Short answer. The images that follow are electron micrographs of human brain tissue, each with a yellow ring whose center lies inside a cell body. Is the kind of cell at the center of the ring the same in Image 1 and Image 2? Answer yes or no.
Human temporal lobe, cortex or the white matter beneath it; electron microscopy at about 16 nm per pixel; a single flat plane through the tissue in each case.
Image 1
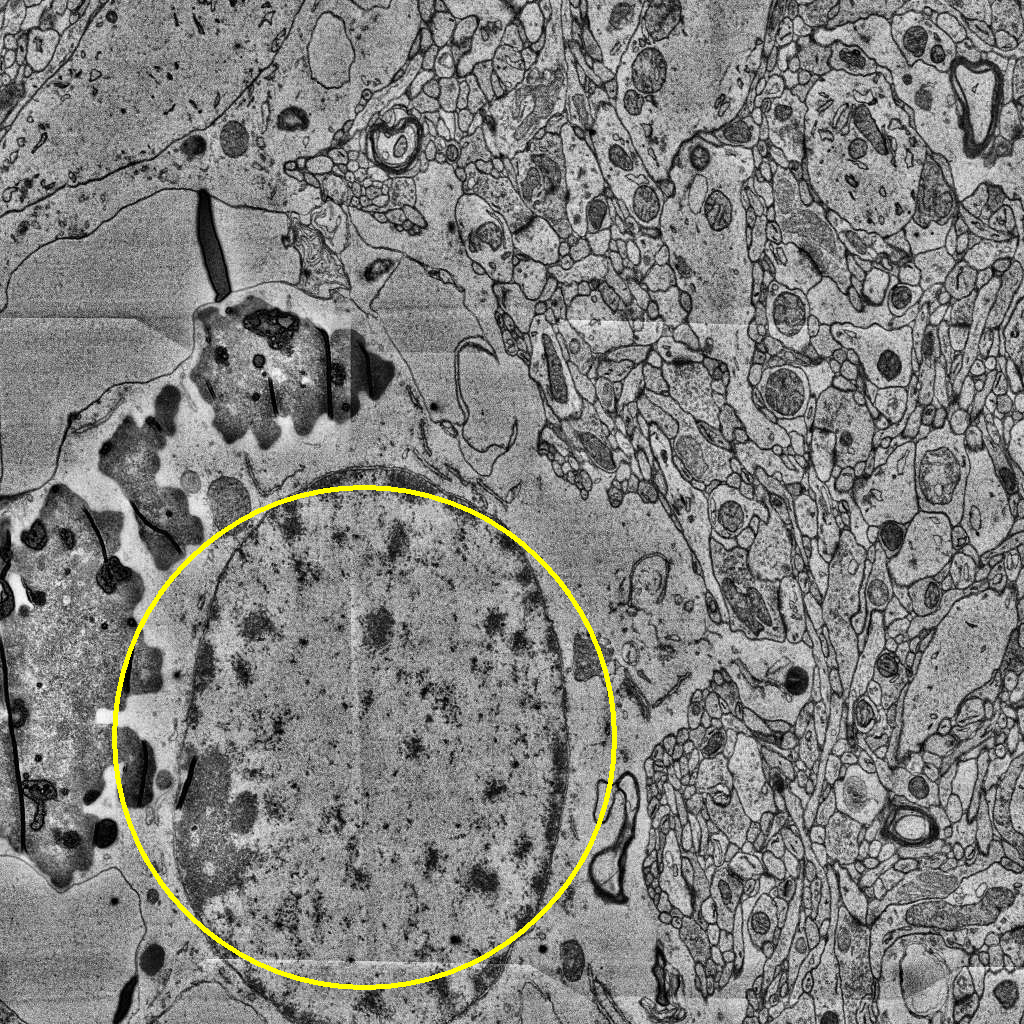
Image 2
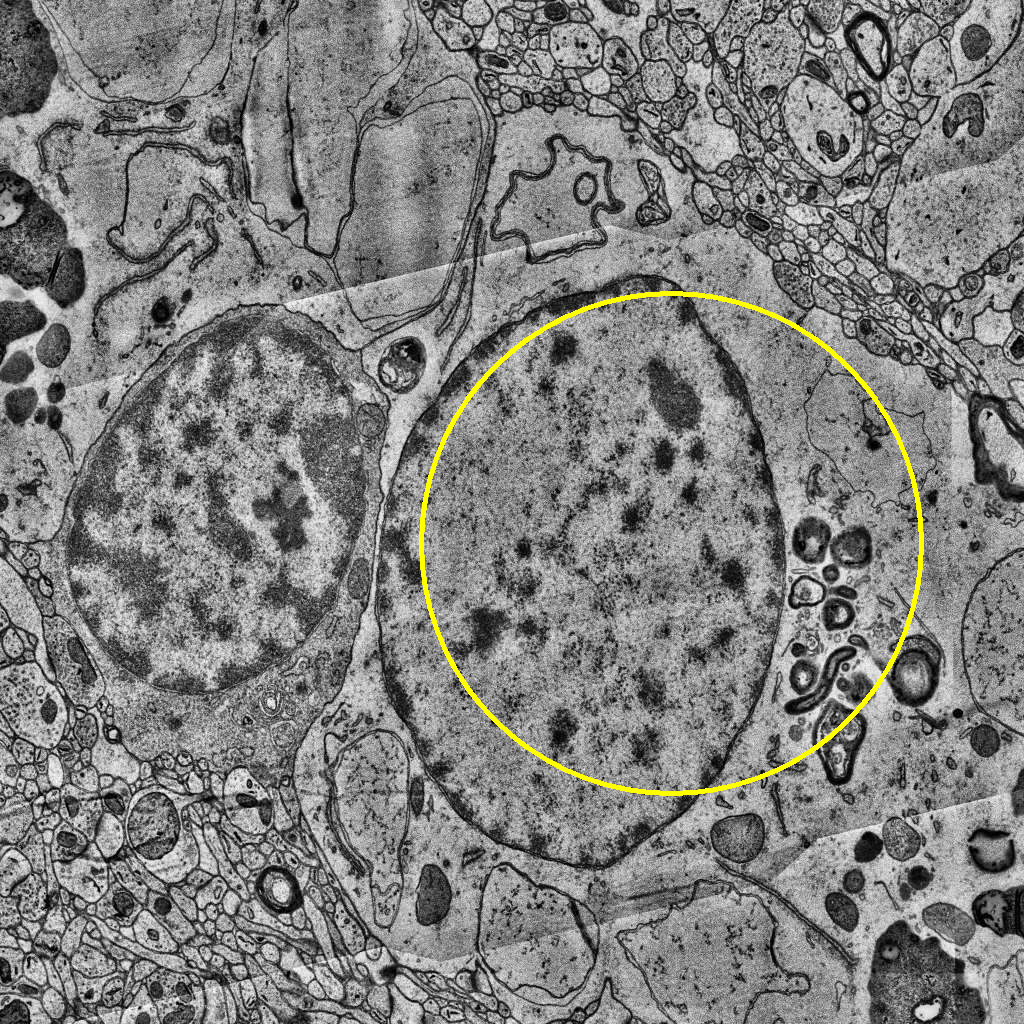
yes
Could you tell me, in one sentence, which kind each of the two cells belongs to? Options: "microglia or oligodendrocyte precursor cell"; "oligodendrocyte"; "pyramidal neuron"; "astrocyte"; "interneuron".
The second cell is an astrocyte, just as the first is.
